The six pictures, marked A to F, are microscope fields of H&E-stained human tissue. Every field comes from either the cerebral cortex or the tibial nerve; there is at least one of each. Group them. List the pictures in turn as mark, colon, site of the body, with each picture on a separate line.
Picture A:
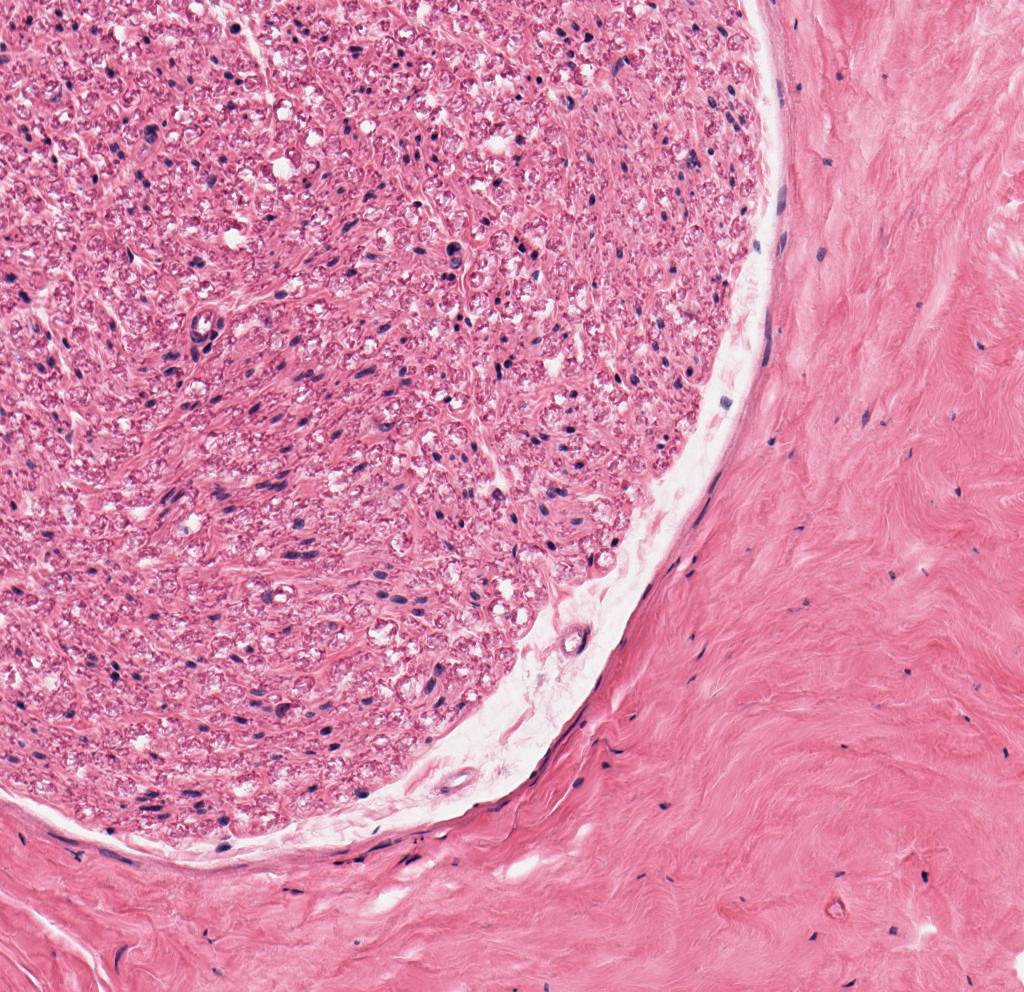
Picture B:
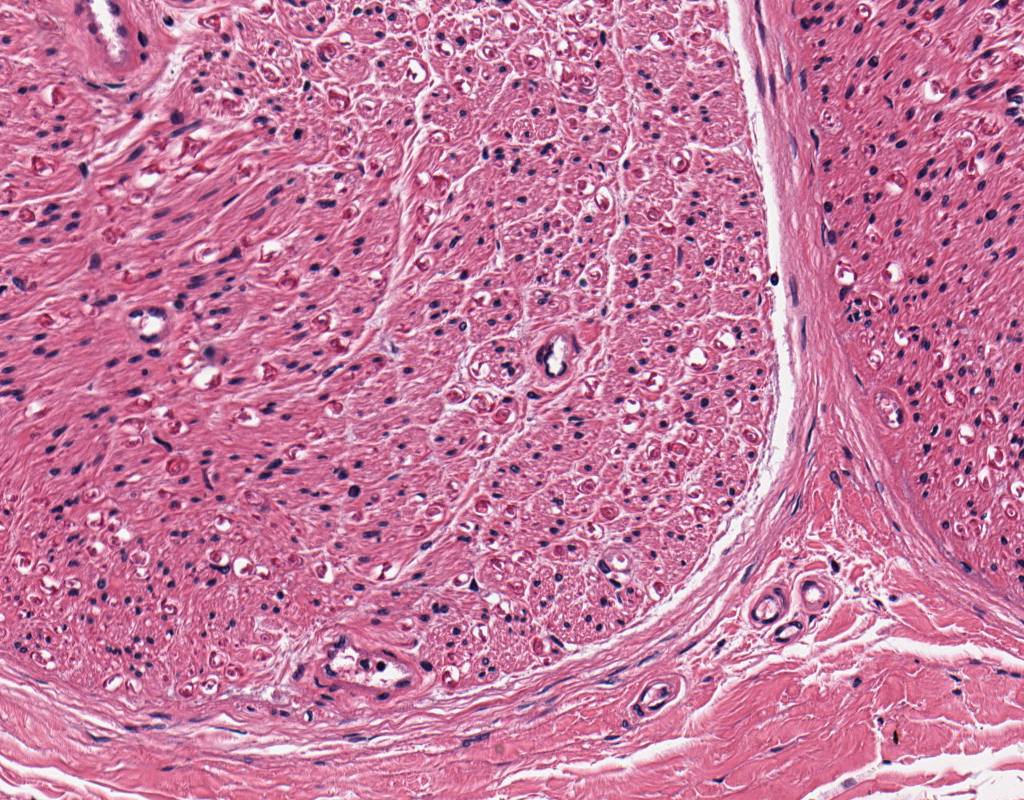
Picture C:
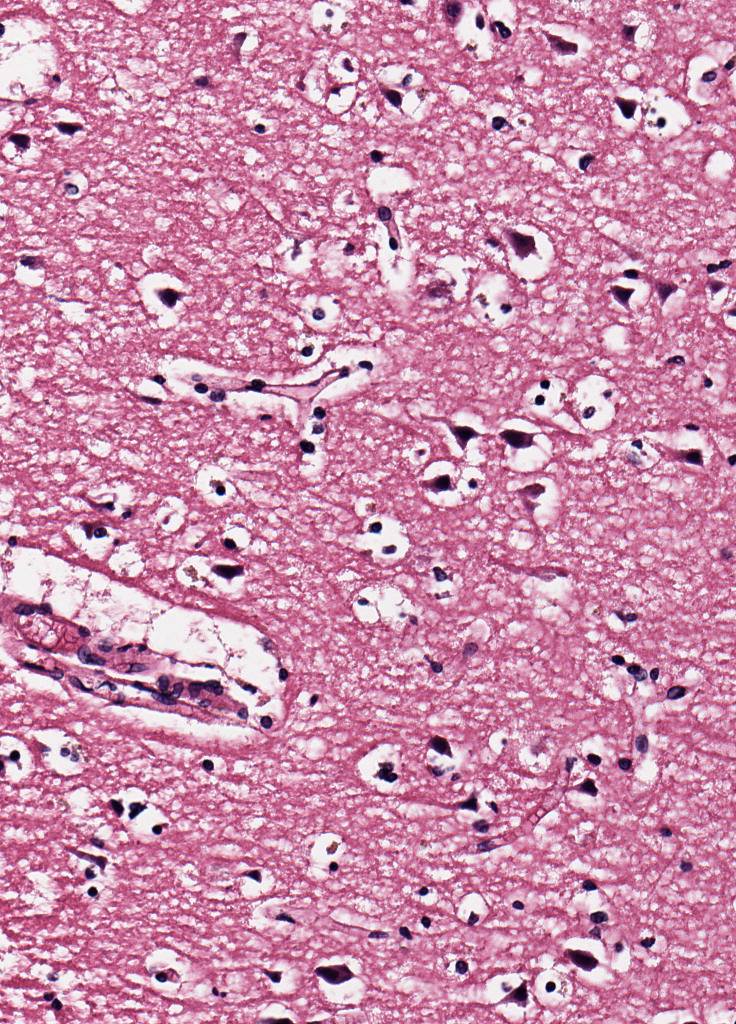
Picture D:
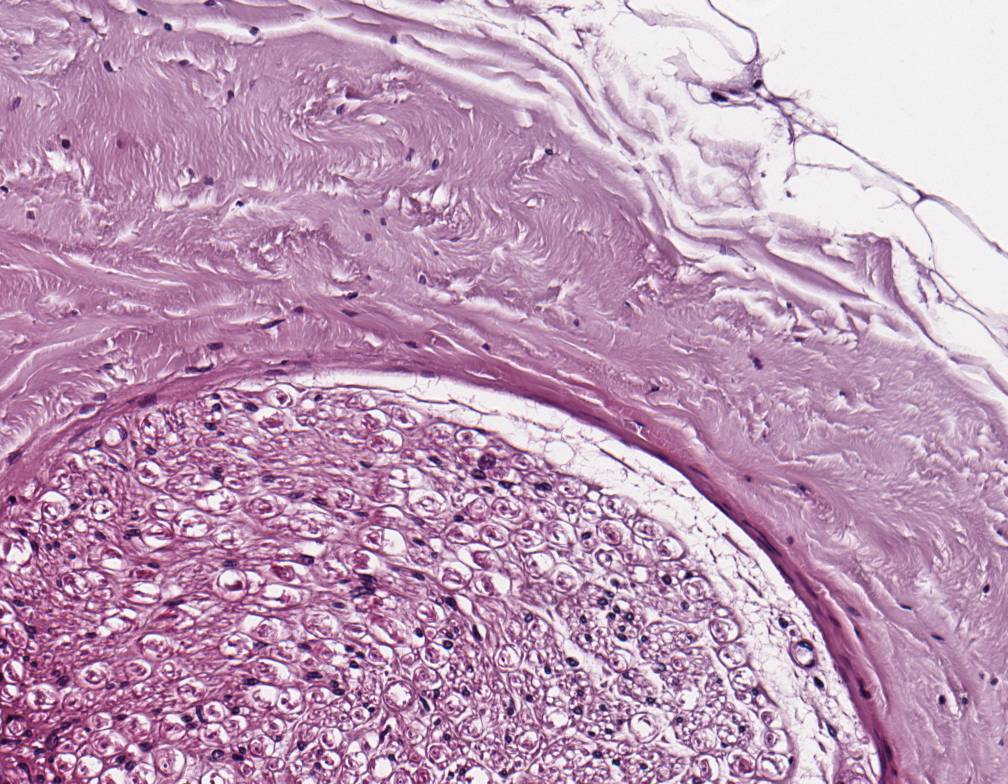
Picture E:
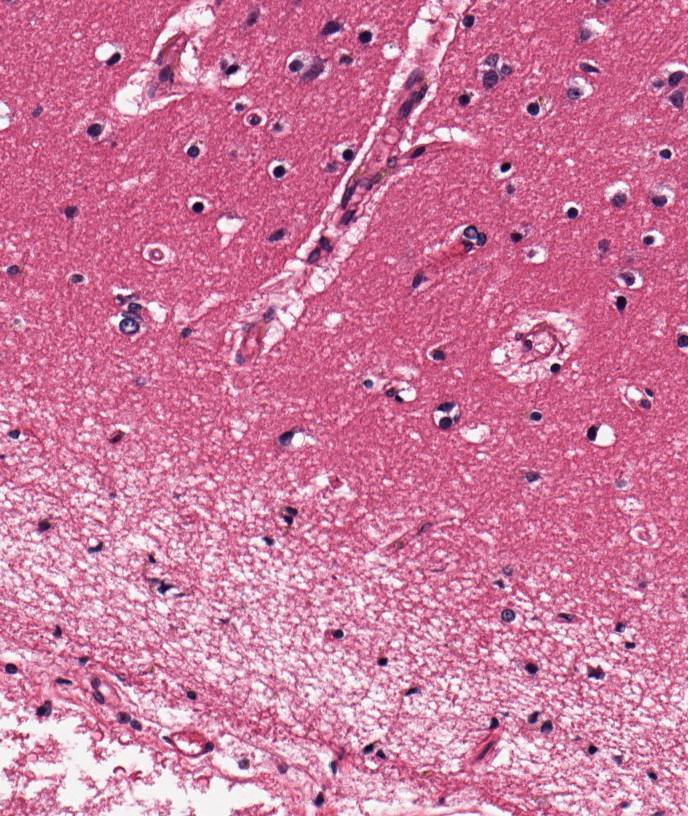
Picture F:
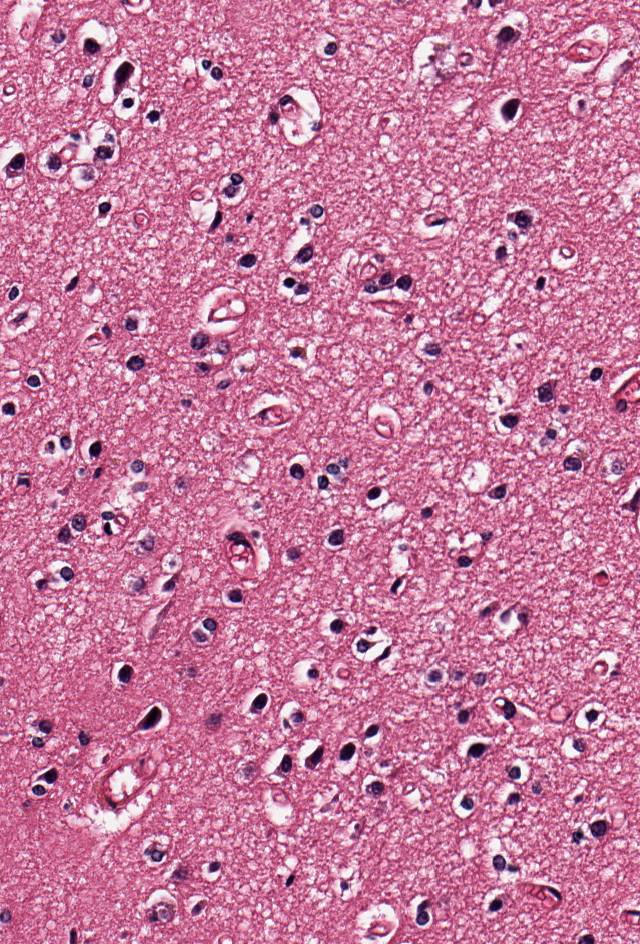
A: tibial nerve
B: tibial nerve
C: cerebral cortex
D: tibial nerve
E: cerebral cortex
F: cerebral cortex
